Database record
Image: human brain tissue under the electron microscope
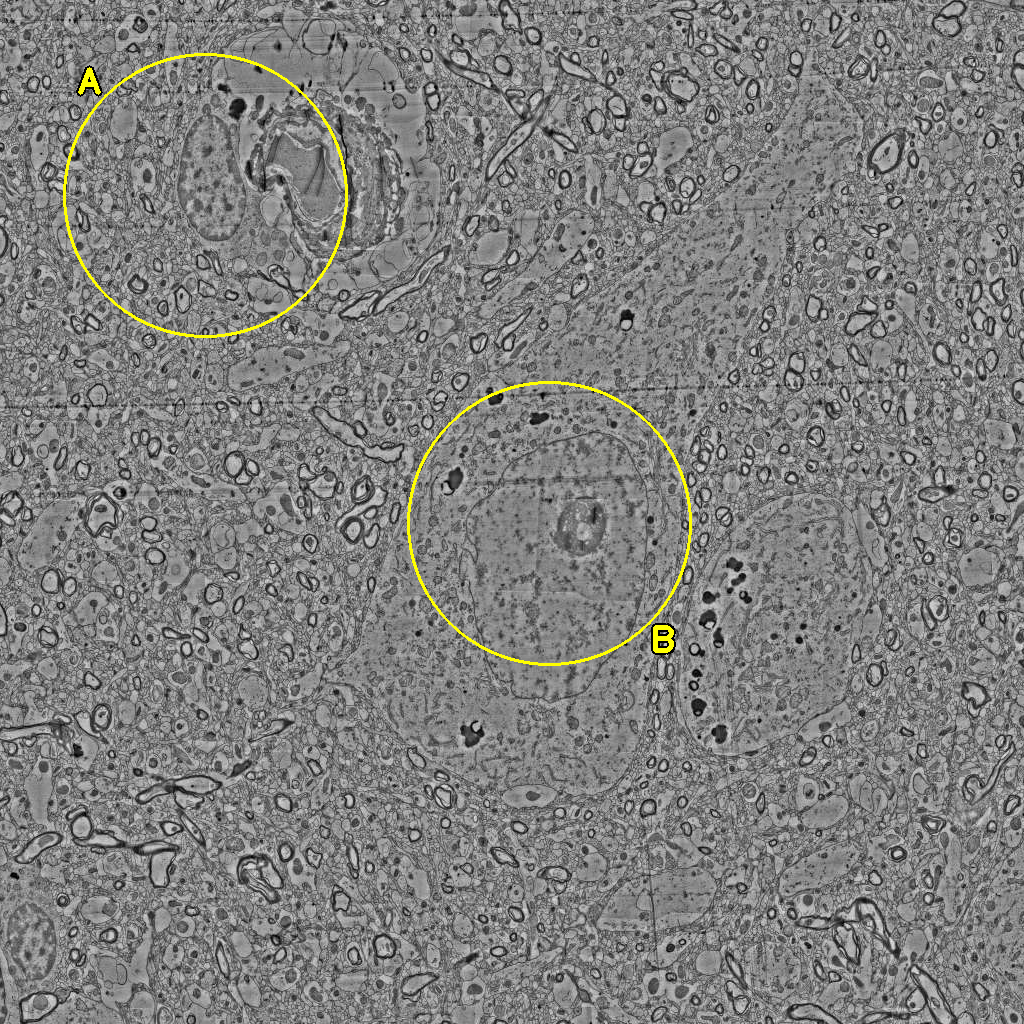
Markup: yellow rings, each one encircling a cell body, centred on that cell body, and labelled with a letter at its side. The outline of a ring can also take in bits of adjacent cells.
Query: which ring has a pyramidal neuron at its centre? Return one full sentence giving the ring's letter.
In this image, that kind of cell lies at the centre of the ring labelled B.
